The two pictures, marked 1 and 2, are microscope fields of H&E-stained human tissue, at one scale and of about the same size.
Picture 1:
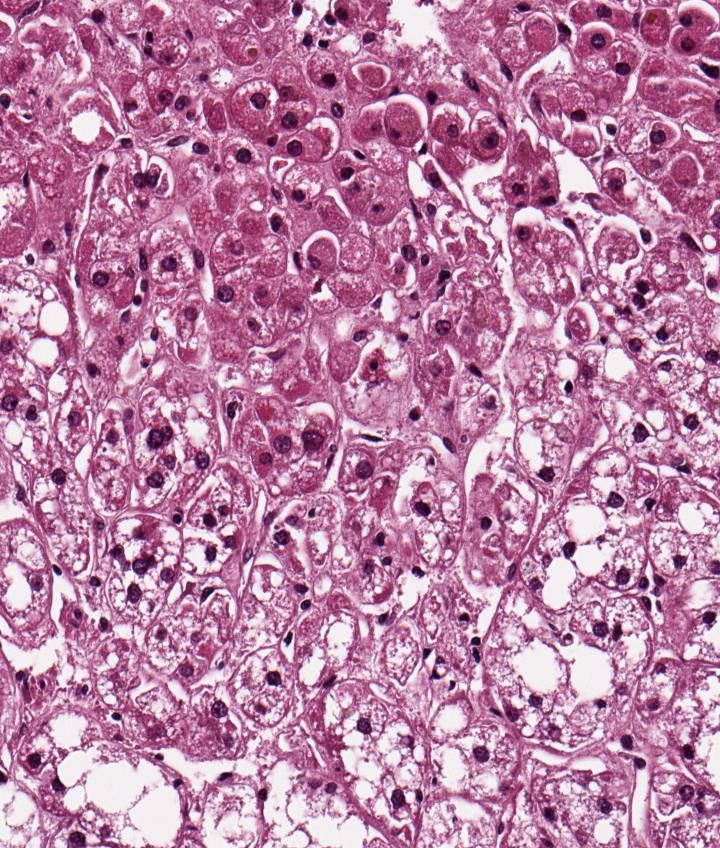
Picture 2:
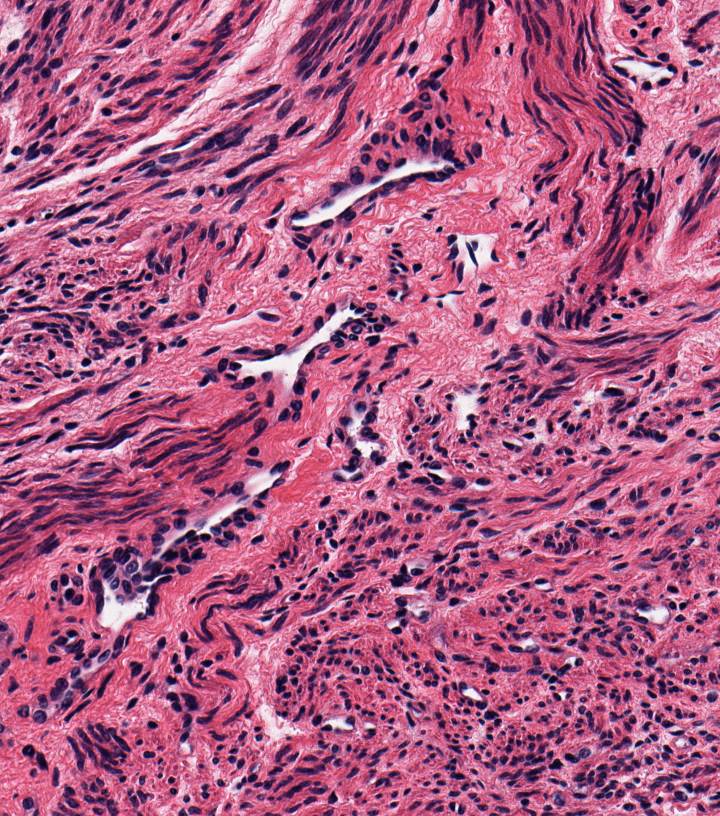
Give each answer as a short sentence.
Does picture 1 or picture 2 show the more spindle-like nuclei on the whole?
The nuclei are more elongated in picture 2.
